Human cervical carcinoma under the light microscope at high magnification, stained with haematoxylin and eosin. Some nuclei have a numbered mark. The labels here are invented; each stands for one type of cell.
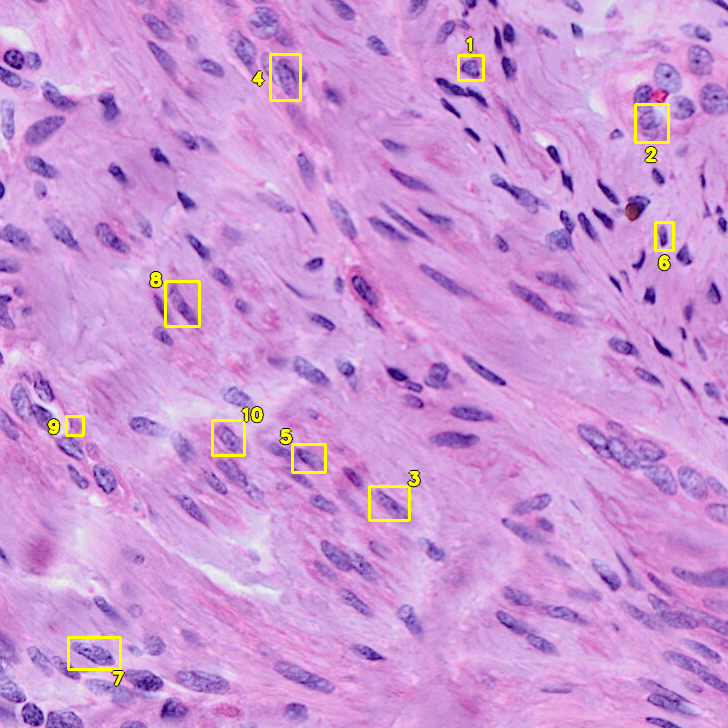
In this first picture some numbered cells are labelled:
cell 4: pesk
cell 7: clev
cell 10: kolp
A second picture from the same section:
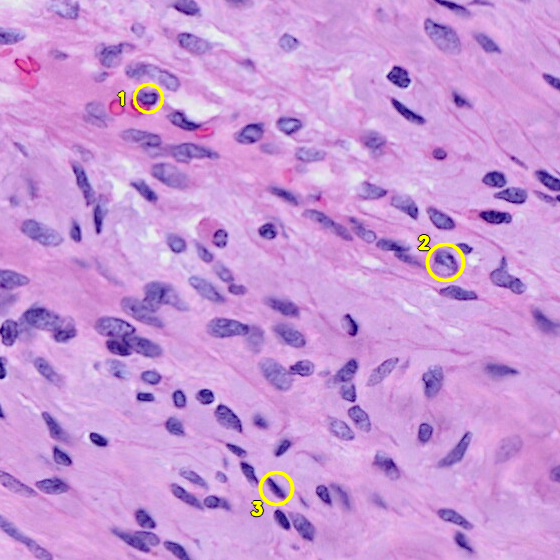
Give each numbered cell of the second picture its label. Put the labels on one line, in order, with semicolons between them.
pesk; kolp; clev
